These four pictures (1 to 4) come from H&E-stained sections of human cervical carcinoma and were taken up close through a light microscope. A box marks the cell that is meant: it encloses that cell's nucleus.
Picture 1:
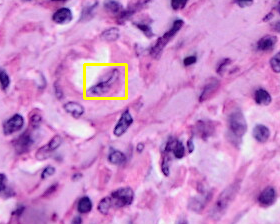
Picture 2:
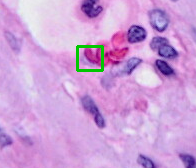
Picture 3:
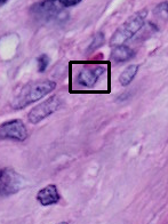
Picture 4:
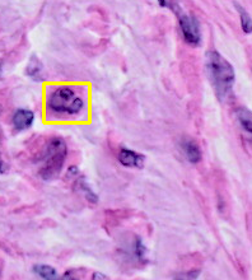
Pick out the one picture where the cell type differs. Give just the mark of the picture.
4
